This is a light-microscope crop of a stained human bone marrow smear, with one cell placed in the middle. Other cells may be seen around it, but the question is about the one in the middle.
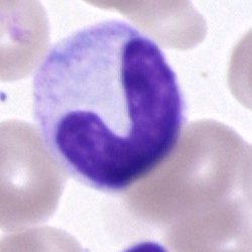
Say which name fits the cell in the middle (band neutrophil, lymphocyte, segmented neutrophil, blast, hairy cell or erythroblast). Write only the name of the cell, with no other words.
band neutrophil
